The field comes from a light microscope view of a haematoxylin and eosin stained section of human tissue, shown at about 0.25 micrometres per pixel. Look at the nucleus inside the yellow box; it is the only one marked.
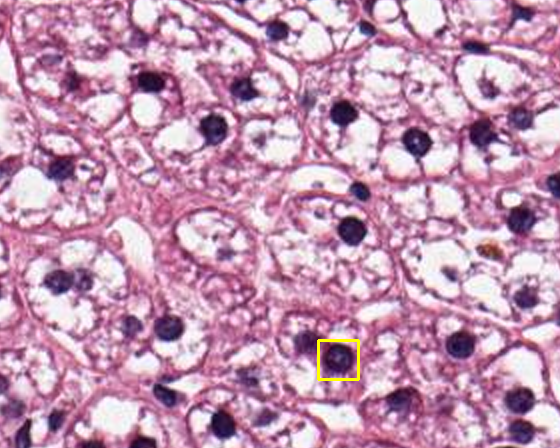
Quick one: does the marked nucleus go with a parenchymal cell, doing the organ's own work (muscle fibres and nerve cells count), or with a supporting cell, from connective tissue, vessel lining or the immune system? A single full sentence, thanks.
A parenchymal cell, namely an adrenal cortical cell, is the owner of the marked nucleus.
